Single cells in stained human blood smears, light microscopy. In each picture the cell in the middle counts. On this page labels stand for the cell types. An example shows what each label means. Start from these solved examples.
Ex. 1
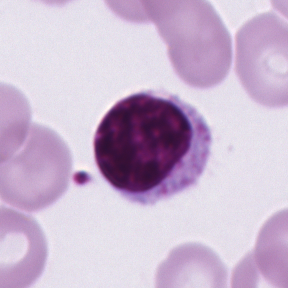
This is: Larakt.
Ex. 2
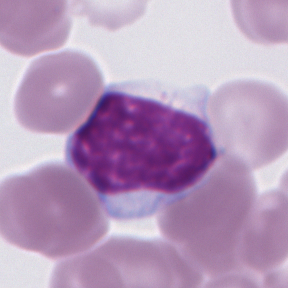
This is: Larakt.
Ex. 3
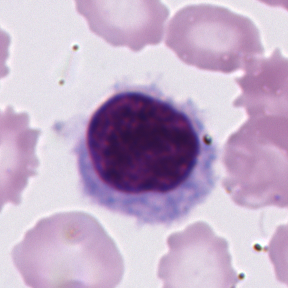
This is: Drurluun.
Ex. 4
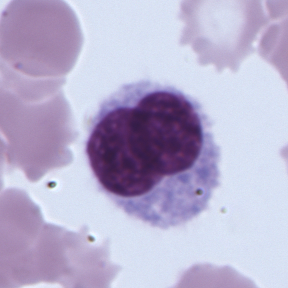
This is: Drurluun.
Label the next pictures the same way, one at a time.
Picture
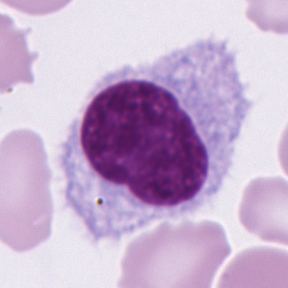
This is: Drurluun.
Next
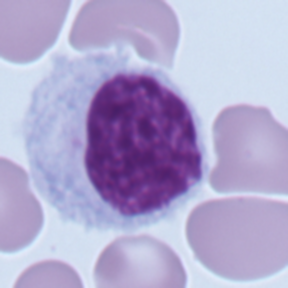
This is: Drurluun.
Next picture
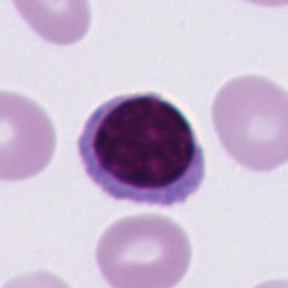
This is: Larakt.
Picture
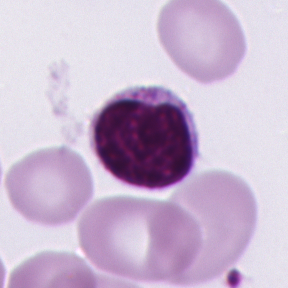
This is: Larakt.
